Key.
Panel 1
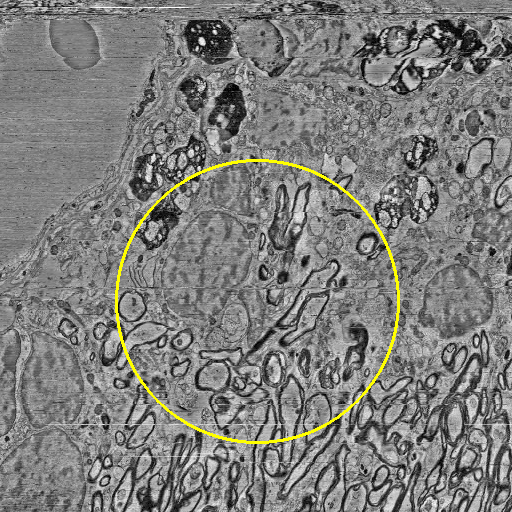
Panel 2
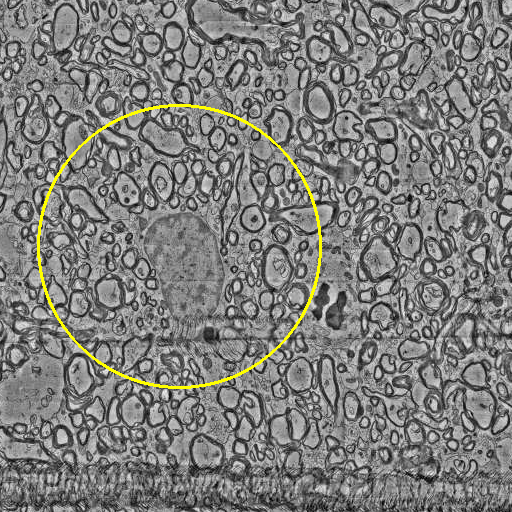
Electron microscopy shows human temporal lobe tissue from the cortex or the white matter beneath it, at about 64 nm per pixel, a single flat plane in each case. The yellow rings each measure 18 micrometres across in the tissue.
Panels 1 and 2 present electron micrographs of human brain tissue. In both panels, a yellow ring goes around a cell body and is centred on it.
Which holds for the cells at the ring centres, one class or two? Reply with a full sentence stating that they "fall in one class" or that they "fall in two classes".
Taken together, the ring-centre cells of the two panels fall in one class.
